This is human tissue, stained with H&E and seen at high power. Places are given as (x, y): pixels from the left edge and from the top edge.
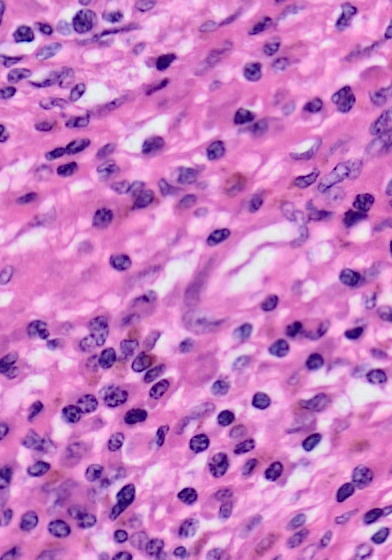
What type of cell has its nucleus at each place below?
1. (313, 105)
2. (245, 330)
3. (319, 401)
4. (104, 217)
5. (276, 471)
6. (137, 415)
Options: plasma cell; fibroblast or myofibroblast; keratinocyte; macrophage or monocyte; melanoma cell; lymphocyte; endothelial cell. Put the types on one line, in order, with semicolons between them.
plasma cell; lymphocyte; macrophage or monocyte; plasma cell; plasma cell; plasma cell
